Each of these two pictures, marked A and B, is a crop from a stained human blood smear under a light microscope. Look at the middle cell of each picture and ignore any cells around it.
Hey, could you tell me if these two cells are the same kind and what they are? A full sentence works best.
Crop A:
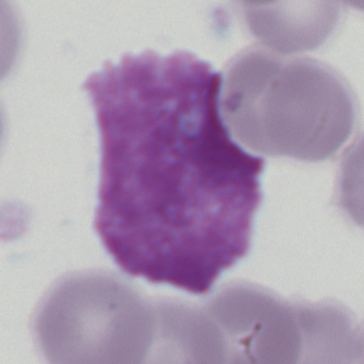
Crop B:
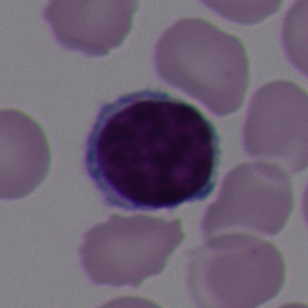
No, crop A shows a smudge cell, and it is crop B that shows a typical lymphocyte.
